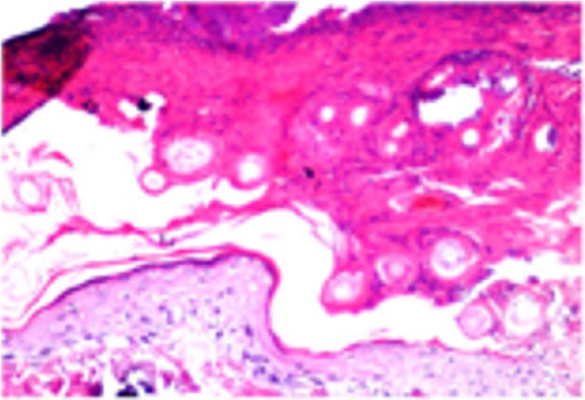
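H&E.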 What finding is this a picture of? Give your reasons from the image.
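A dense, deep pink crust lies at the top. A wide clear cleft separates the crust from the underlying epidermis.
Answer: separation of the necrosed areas as scales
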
